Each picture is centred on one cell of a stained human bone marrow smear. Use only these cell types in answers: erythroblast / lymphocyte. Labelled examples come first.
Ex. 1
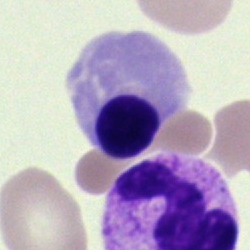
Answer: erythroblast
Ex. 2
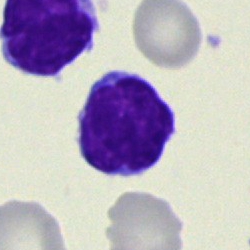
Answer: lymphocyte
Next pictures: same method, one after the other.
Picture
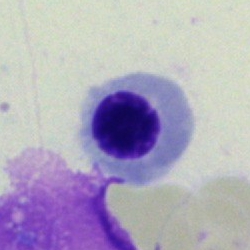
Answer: erythroblast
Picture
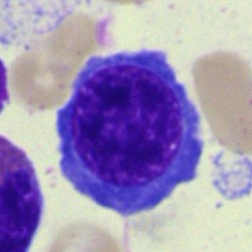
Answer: erythroblast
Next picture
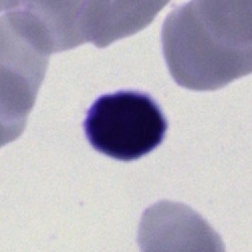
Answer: lymphocyte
